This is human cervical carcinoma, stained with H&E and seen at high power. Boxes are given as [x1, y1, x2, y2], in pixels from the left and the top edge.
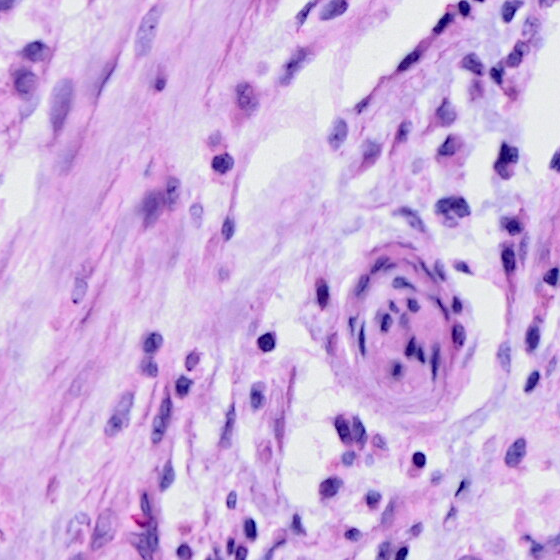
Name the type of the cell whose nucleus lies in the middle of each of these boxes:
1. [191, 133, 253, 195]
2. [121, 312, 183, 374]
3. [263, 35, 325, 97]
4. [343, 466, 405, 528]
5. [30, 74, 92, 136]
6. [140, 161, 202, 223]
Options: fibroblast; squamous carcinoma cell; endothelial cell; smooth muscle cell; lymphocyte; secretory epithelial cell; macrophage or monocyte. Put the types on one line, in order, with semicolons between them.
lymphocyte; lymphocyte; fibroblast; lymphocyte; fibroblast; endothelial cell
